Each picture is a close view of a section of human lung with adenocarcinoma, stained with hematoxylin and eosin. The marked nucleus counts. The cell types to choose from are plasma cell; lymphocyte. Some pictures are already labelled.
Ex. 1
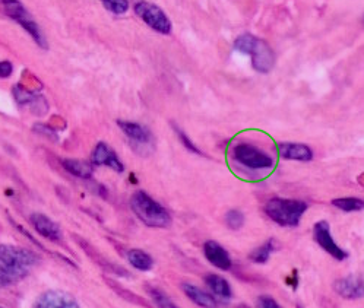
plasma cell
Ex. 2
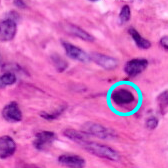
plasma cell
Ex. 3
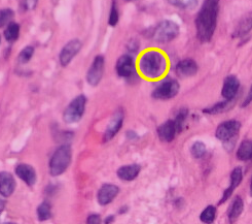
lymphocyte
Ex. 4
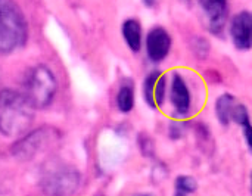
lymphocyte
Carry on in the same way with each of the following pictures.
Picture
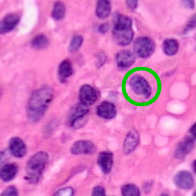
lymphocyte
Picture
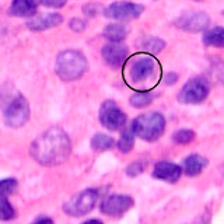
lymphocyte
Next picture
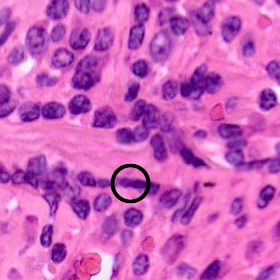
lymphocyte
